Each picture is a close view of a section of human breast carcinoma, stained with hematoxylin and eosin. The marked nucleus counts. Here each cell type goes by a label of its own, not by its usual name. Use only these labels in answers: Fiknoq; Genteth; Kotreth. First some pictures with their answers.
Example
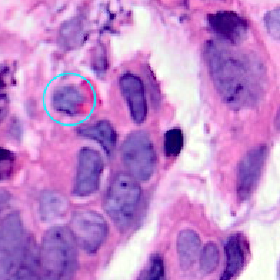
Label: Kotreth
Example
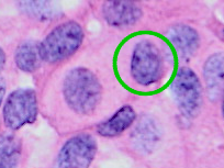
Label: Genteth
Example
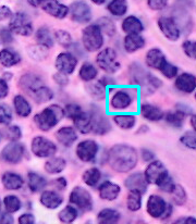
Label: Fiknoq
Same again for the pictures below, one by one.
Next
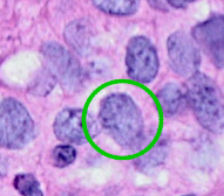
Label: Genteth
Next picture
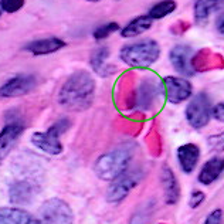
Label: Kotreth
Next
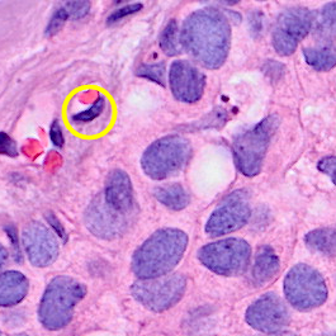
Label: Kotreth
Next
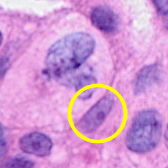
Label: Genteth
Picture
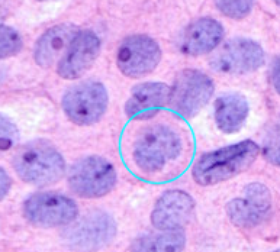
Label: Genteth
